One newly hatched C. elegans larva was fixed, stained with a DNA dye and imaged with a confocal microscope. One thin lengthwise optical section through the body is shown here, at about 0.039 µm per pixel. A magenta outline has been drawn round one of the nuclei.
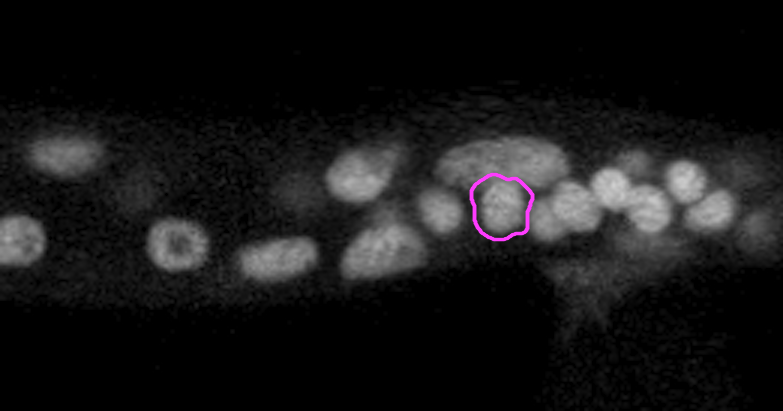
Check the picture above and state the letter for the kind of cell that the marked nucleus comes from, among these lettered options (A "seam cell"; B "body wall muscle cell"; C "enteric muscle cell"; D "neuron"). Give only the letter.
D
